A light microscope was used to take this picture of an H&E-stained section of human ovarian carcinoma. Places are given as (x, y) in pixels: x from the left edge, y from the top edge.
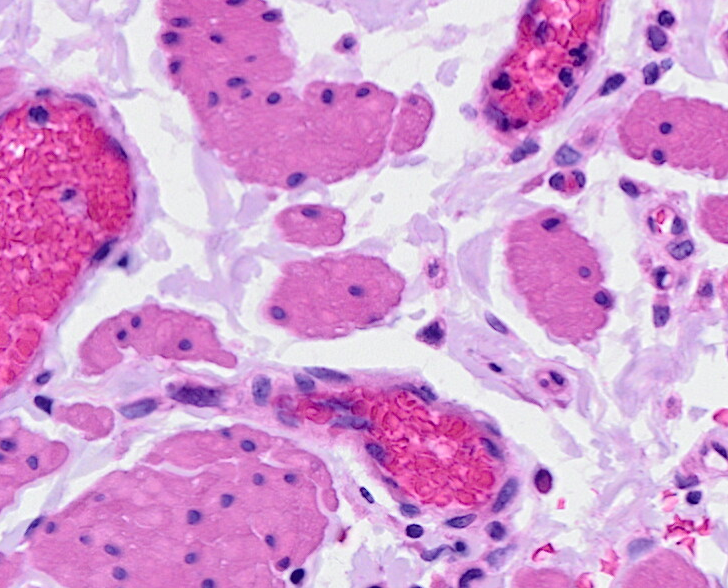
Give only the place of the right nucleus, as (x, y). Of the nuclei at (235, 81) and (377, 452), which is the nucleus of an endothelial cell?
(377, 452)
